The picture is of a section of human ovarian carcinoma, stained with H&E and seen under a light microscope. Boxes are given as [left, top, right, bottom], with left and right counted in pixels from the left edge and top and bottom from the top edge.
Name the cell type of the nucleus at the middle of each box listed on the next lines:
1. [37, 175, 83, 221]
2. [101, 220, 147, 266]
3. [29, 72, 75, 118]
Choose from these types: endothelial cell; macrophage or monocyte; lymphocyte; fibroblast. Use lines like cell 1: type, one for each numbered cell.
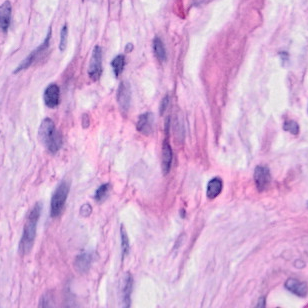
cell 1: fibroblast
cell 2: fibroblast
cell 3: lymphocyte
